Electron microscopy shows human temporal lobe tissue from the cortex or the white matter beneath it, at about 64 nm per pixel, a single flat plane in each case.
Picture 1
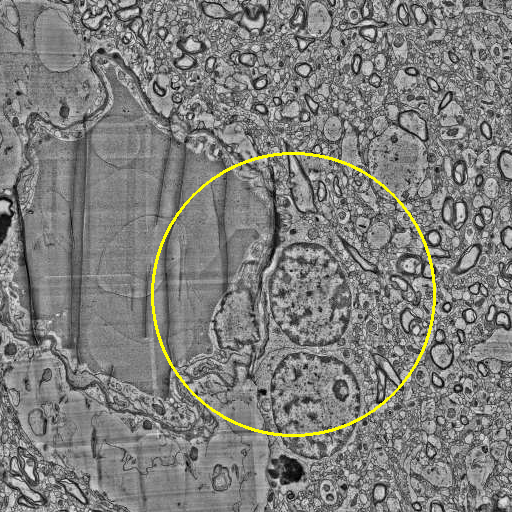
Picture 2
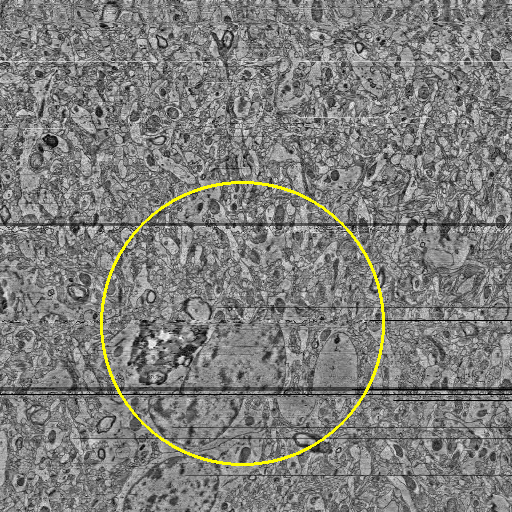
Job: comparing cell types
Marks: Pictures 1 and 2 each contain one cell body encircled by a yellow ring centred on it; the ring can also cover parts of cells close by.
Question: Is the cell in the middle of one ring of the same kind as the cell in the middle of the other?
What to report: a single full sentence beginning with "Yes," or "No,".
No, the cell at the ring centre in Picture 1 and its partner in Picture 2 are of two kinds.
